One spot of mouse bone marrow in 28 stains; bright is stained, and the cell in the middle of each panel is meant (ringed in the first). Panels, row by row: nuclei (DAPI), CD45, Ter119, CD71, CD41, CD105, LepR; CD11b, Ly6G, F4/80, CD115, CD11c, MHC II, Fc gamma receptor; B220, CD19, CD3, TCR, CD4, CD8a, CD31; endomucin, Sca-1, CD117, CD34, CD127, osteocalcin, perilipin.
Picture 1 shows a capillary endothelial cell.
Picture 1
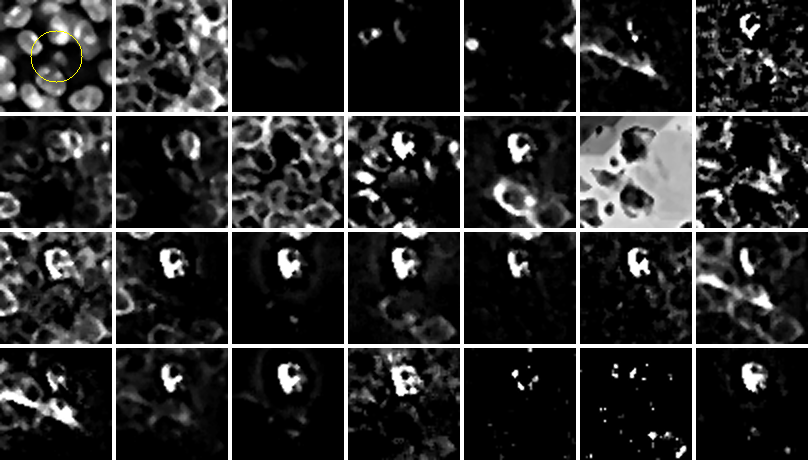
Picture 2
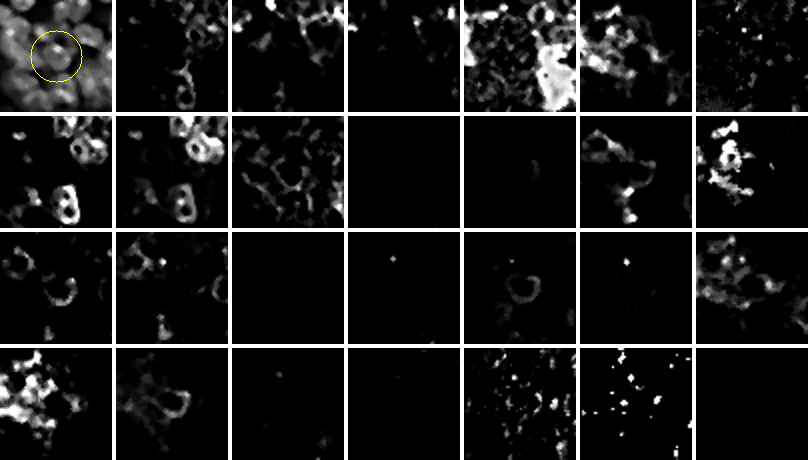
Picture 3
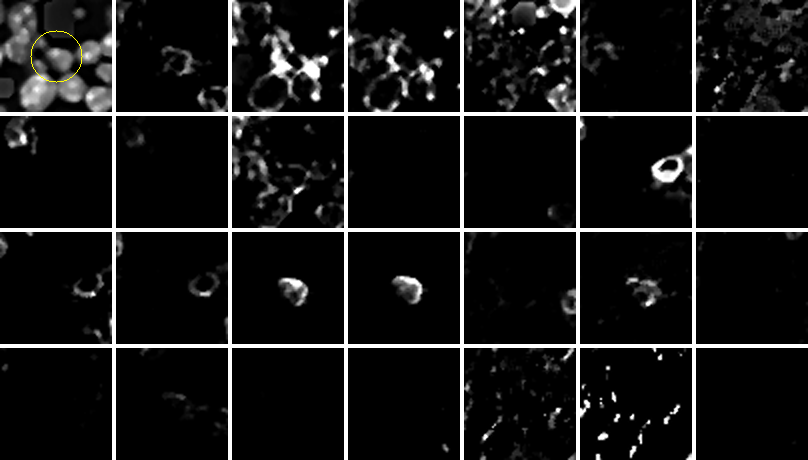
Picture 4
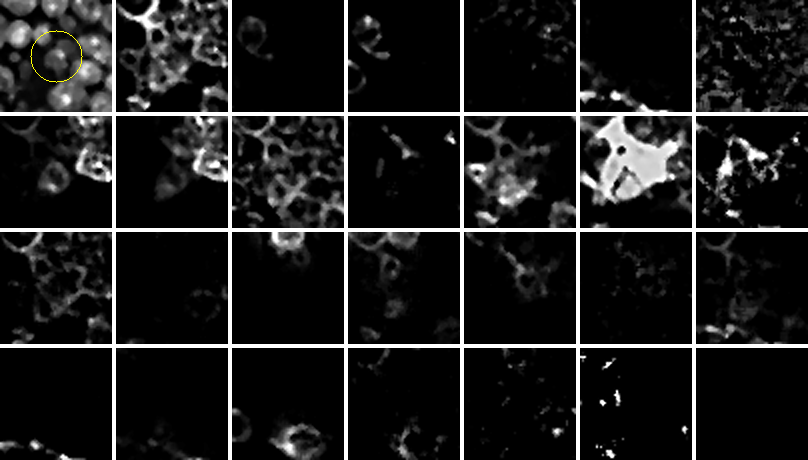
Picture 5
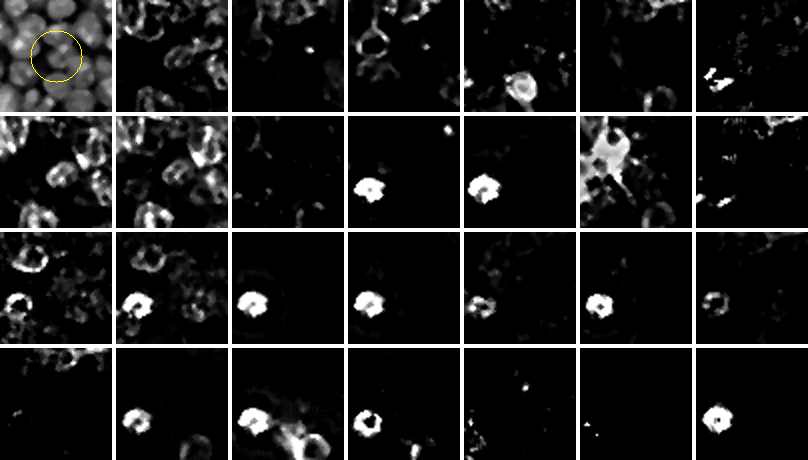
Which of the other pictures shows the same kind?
Picture 2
